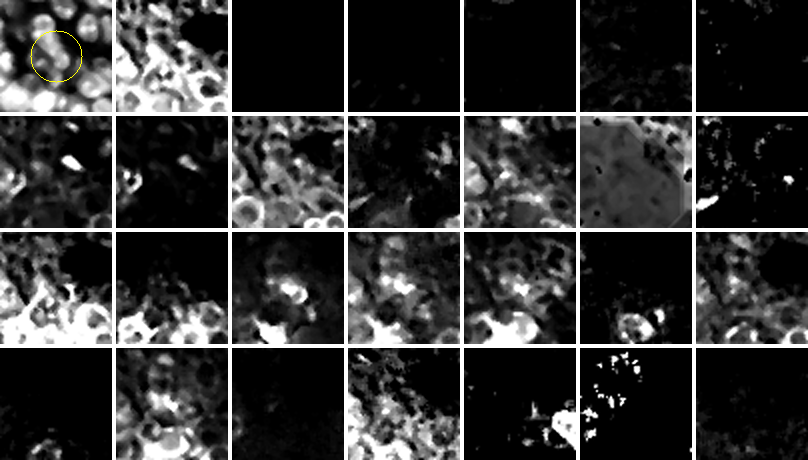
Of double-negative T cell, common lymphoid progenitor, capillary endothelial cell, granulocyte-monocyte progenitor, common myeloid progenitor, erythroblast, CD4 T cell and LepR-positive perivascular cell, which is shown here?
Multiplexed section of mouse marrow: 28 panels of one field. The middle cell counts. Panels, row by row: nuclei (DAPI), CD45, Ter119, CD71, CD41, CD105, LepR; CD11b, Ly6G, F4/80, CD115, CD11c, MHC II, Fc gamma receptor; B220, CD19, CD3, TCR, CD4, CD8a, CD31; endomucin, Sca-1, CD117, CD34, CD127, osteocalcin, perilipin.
CD4 T cell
